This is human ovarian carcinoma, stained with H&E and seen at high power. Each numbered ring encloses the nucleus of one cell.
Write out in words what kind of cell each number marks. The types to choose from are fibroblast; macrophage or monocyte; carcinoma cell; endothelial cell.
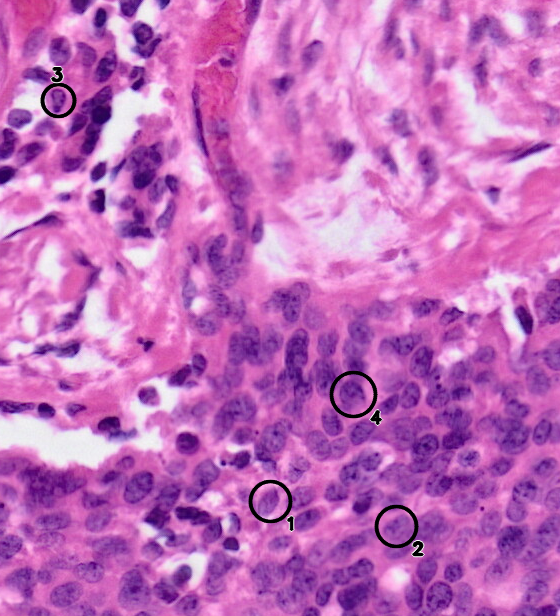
Cell 1 is a carcinoma cell, cell 2 is a carcinoma cell, cell 3 is a macrophage or monocyte and cell 4 is a carcinoma cell.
